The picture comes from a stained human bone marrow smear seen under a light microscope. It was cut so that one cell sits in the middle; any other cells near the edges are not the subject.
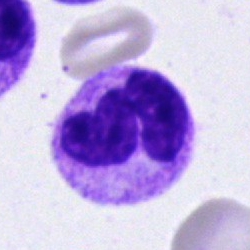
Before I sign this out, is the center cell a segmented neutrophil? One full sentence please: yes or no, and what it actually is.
Yes, the cell that is in the middle is a segmented neutrophil.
